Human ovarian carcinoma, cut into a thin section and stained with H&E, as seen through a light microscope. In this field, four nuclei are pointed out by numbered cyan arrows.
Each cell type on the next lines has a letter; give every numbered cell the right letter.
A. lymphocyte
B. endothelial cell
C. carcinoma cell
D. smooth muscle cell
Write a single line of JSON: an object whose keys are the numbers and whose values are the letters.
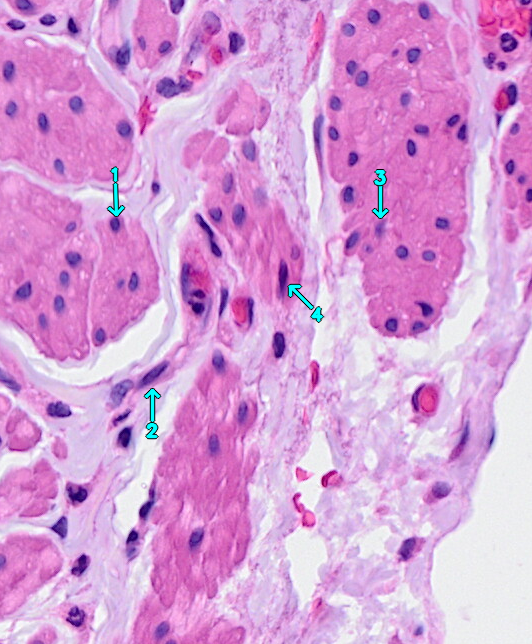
{"1": "D", "2": "B", "3": "D", "4": "D"}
